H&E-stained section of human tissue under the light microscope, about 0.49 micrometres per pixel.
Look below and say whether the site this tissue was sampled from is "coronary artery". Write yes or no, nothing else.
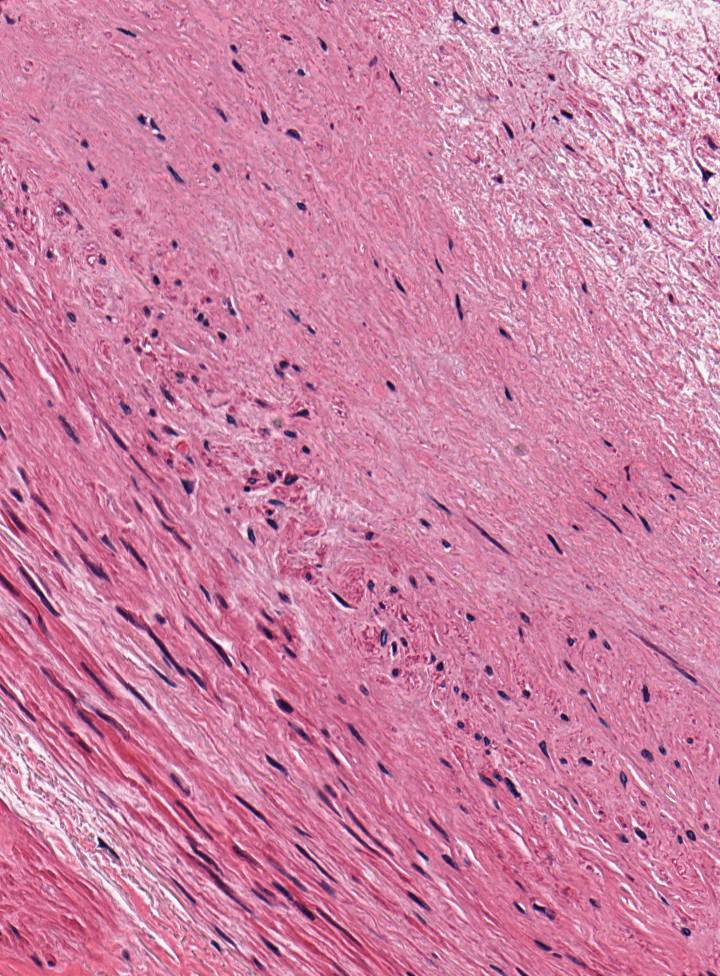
yes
